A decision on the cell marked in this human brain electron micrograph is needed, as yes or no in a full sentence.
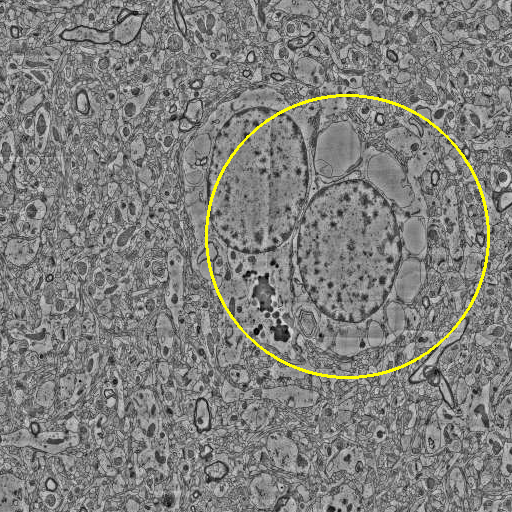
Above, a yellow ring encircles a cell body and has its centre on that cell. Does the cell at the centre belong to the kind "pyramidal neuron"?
No, a different kind fits the cell at the centre of the ring in the picture.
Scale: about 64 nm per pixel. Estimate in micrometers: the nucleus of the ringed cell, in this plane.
About 9 micrometres by about 7 micrometres in this plane.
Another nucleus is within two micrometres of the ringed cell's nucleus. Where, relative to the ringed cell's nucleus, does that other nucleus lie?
The other one is to the upper left of it.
